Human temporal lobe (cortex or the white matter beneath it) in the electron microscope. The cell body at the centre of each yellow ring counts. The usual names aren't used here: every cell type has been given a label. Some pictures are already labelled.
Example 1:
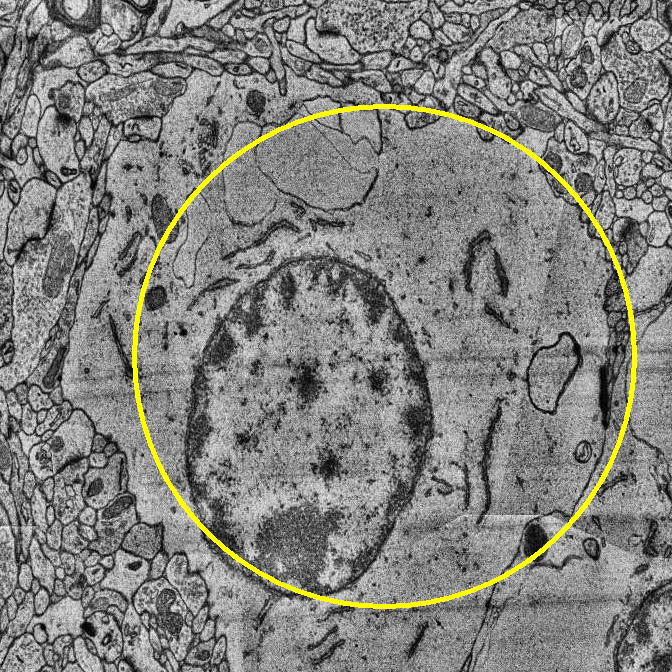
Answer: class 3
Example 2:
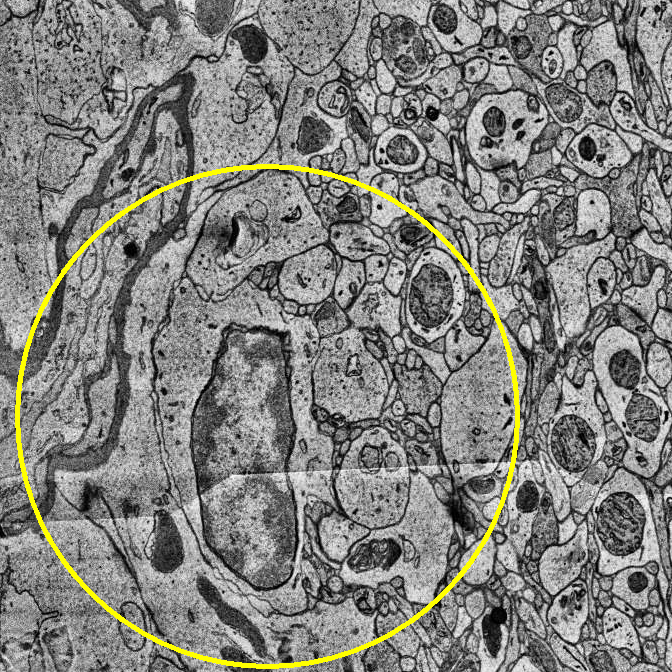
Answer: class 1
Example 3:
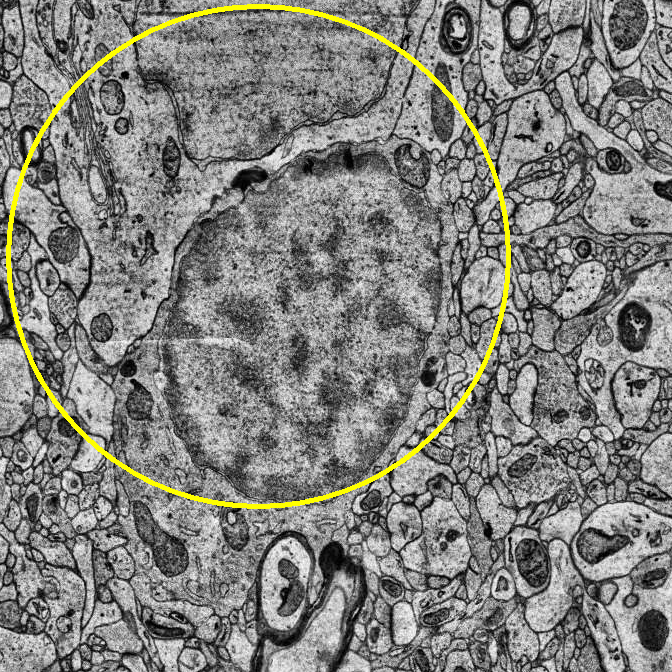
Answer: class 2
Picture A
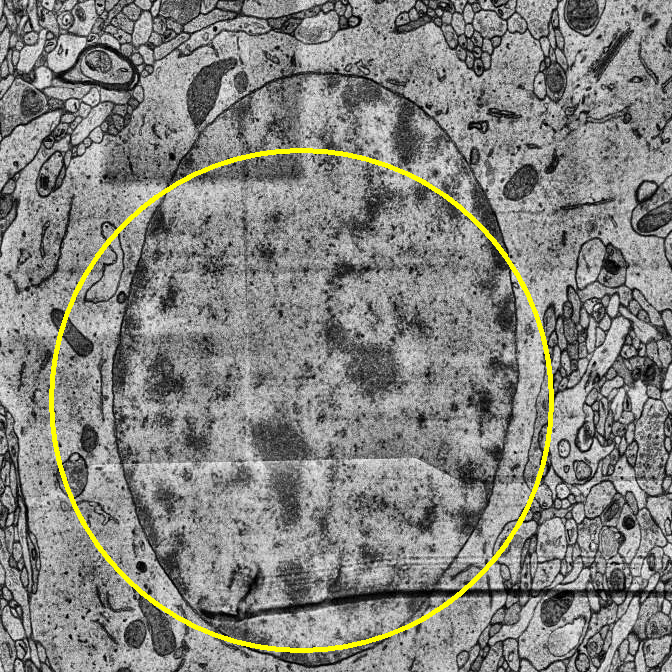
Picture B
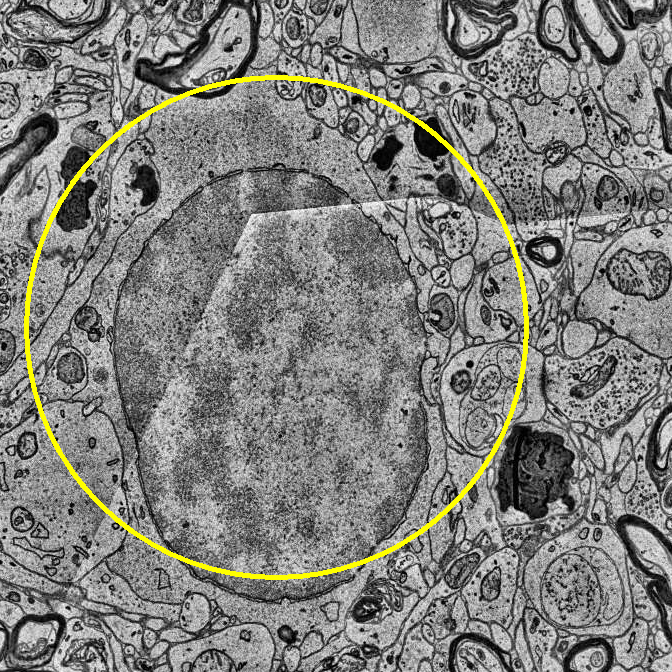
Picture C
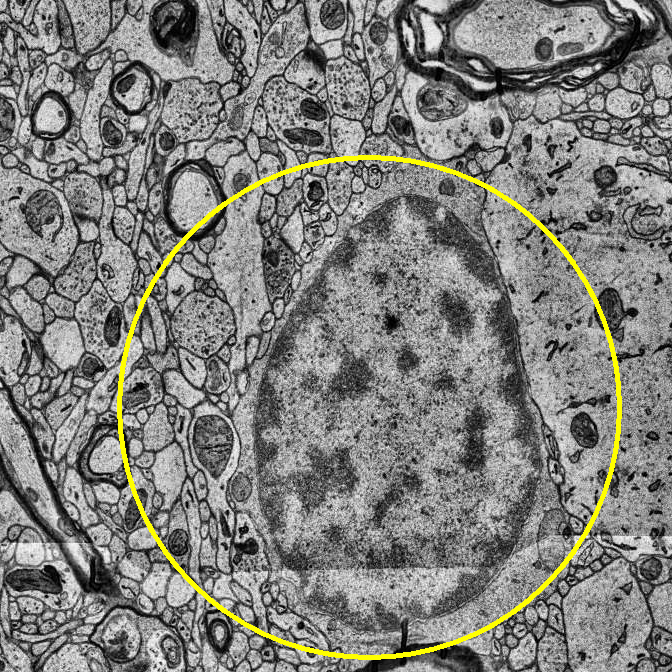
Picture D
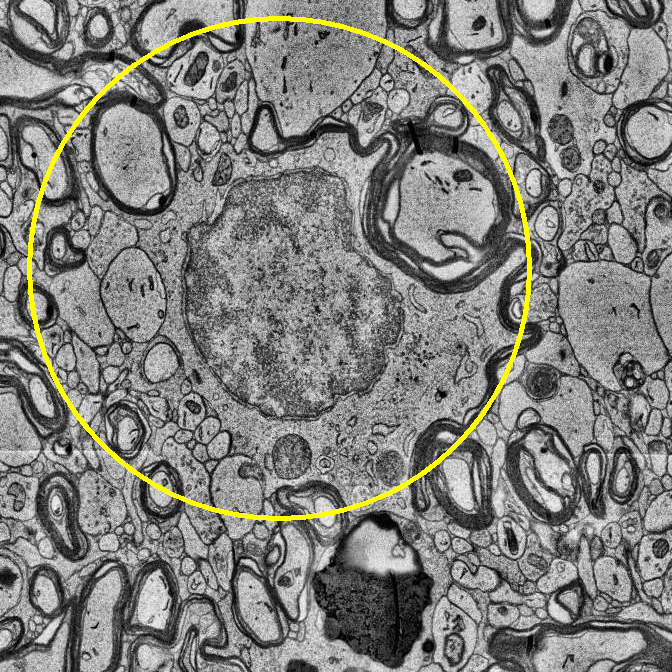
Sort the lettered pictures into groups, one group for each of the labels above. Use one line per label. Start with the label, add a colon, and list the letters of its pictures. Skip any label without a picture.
class 3: A
class 2: B, C, D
